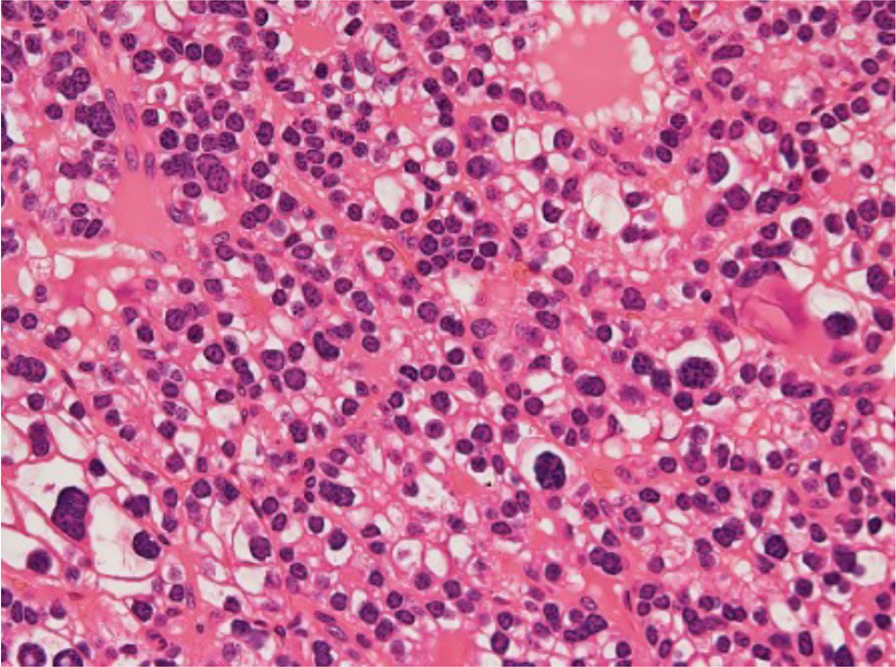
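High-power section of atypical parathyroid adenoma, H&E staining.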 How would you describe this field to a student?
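Tumor cells lie packed in solid sheets, threaded by a fine pink network of delicate septa, and many have clear or pale pink cytoplasm. Most nuclei are small, round and fairly uniform. Scattered among them are cells with much larger, irregular and very dark purple nuclei, giving marked variation in nuclear size and staining.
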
